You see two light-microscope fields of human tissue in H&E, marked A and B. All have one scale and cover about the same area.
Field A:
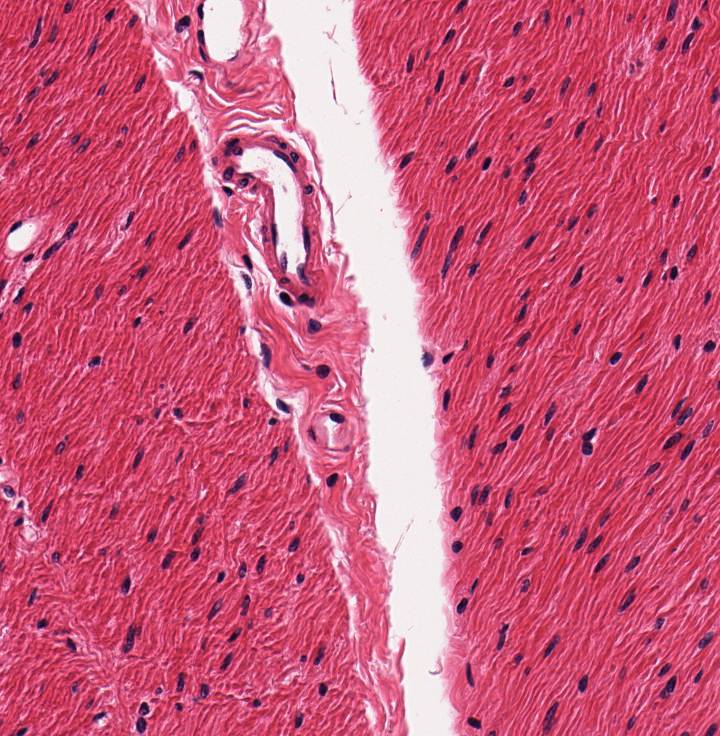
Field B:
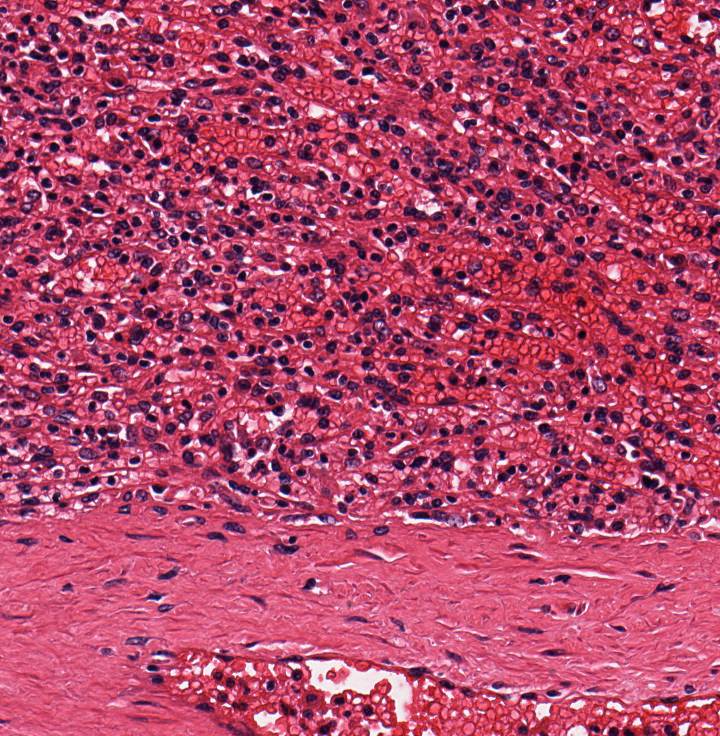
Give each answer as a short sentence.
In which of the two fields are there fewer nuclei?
It is field A that has fewer nuclei in it.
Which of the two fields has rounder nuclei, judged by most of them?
It is field B whose nuclei are the rounder.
